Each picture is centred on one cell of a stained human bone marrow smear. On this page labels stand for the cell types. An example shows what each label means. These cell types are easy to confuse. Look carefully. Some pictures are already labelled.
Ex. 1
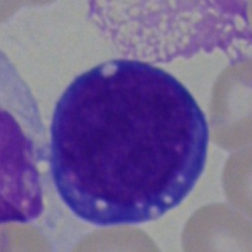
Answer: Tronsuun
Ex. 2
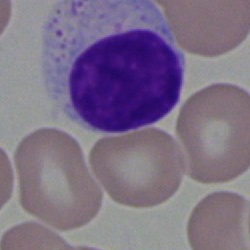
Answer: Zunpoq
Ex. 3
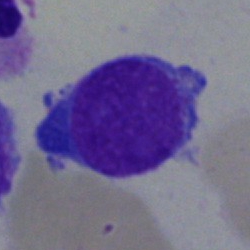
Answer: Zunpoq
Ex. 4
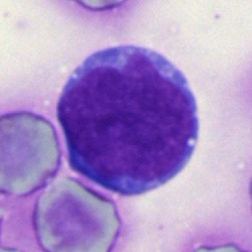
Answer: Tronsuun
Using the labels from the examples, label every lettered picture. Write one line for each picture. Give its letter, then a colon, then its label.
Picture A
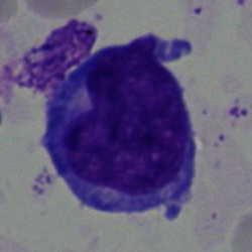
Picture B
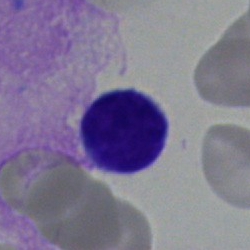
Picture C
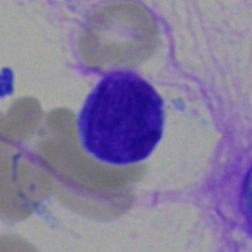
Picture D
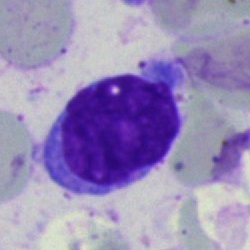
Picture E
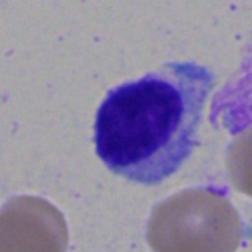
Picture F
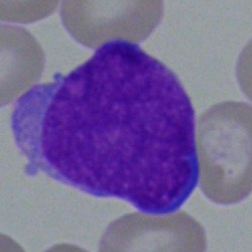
A: Tronsuun
B: Zunpoq
C: Zunpoq
D: Zunpoq
E: Zunpoq
F: Tronsuun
